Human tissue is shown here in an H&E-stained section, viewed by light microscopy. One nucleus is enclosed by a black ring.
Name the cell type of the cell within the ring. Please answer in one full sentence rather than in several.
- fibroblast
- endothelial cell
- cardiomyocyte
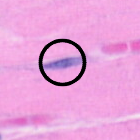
In the tissue at hand, the cell within the ring is an endothelial cell.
